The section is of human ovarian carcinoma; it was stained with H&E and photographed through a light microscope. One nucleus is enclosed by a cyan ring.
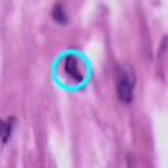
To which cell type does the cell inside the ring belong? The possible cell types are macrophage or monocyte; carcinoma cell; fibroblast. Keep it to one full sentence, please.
As classified here, the cell inside the ring is a fibroblast.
